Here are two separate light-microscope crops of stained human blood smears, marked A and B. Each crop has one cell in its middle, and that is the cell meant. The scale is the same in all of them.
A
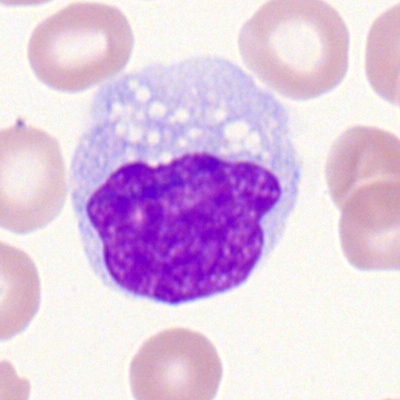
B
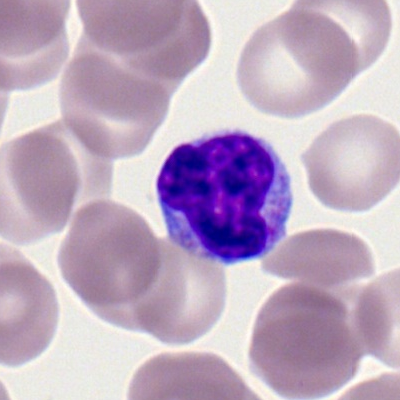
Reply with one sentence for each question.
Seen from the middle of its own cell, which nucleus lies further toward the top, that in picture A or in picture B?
The nucleus in picture B lies further toward the top of its cell.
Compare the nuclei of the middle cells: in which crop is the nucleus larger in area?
The nucleus in picture A is larger, with about 2 times the area of the one in picture B.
